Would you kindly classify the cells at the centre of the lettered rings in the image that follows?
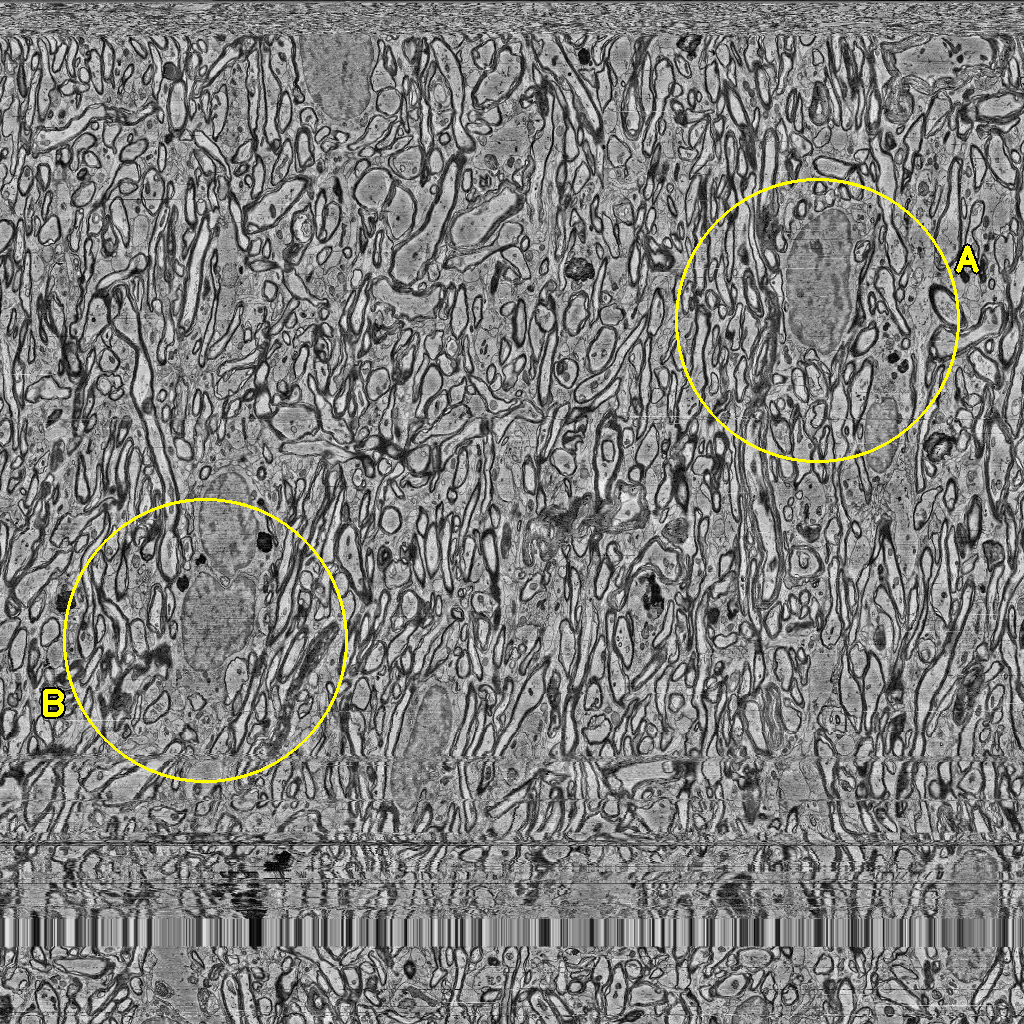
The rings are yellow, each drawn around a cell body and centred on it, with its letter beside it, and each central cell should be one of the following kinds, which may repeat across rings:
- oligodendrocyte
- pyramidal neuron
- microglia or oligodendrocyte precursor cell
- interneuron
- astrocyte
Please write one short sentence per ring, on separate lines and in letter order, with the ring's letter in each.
The kind of cell at the centre of ring A is an oligodendrocyte.
The kind of cell at the centre of ring B is an oligodendrocyte.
